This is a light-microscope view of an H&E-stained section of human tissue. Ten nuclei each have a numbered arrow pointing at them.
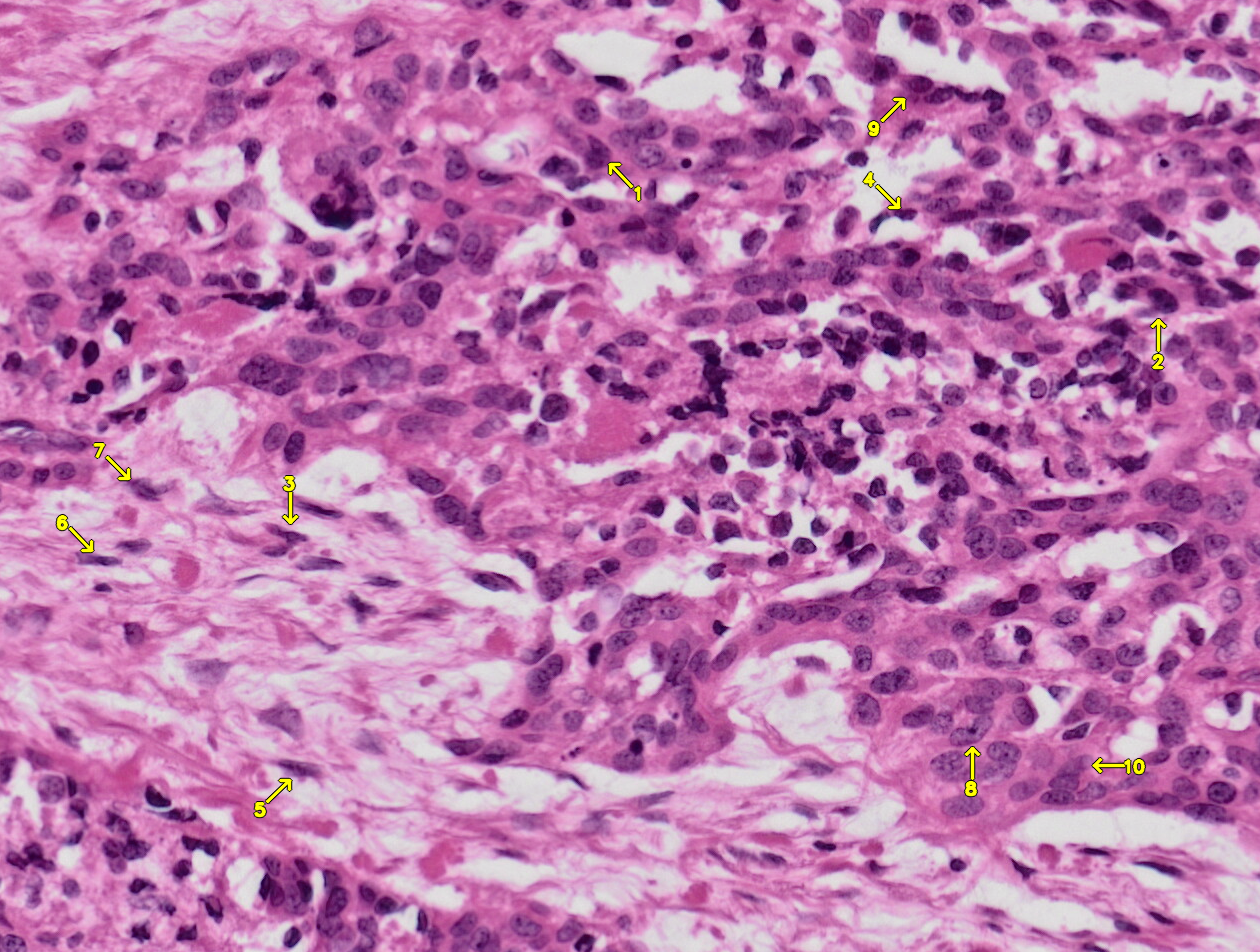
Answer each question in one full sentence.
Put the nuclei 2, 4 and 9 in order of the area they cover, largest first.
Largest first, the order by area is 2, 9, 4.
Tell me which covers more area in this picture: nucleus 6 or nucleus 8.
The larger nucleus is 8, at roughly 1.5 times the area of 6.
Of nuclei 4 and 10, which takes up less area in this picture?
Nucleus 4 is the smaller one; nucleus 10 covers about 2 times its area.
